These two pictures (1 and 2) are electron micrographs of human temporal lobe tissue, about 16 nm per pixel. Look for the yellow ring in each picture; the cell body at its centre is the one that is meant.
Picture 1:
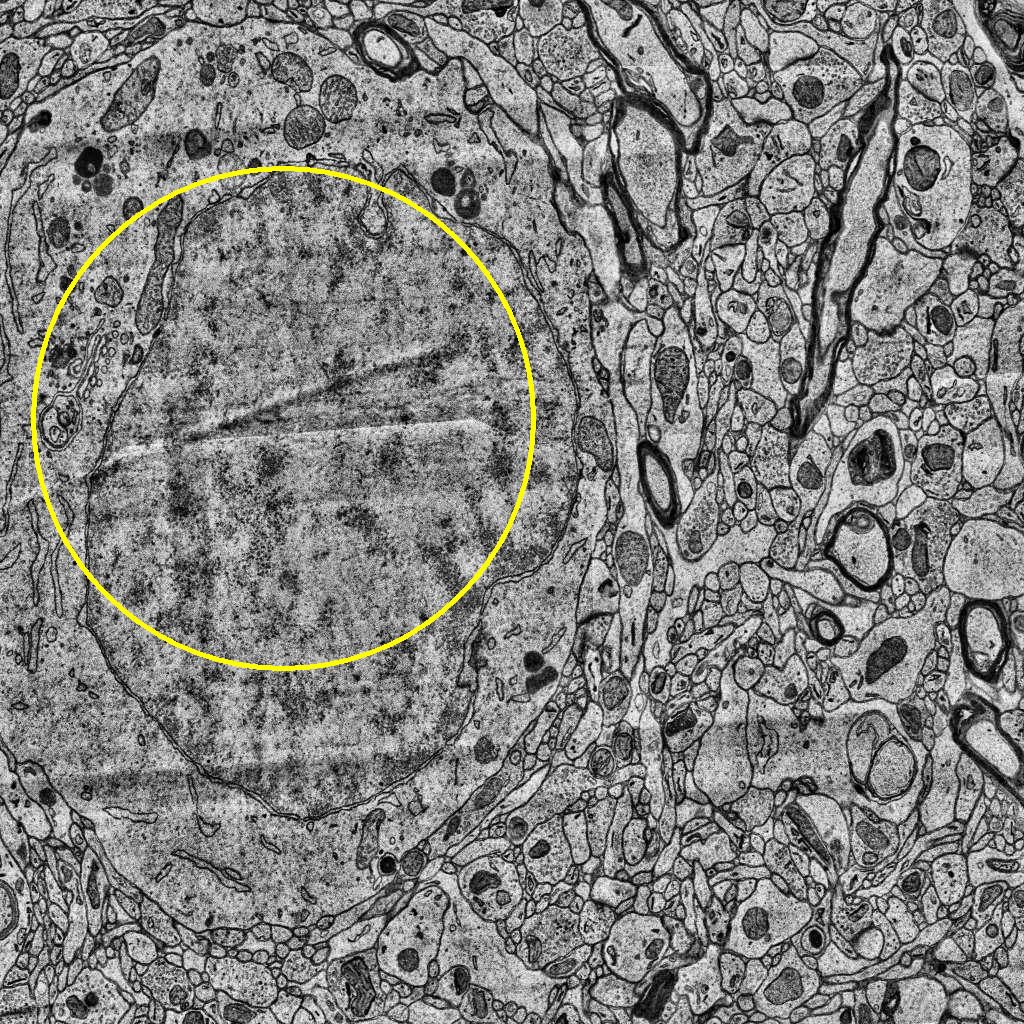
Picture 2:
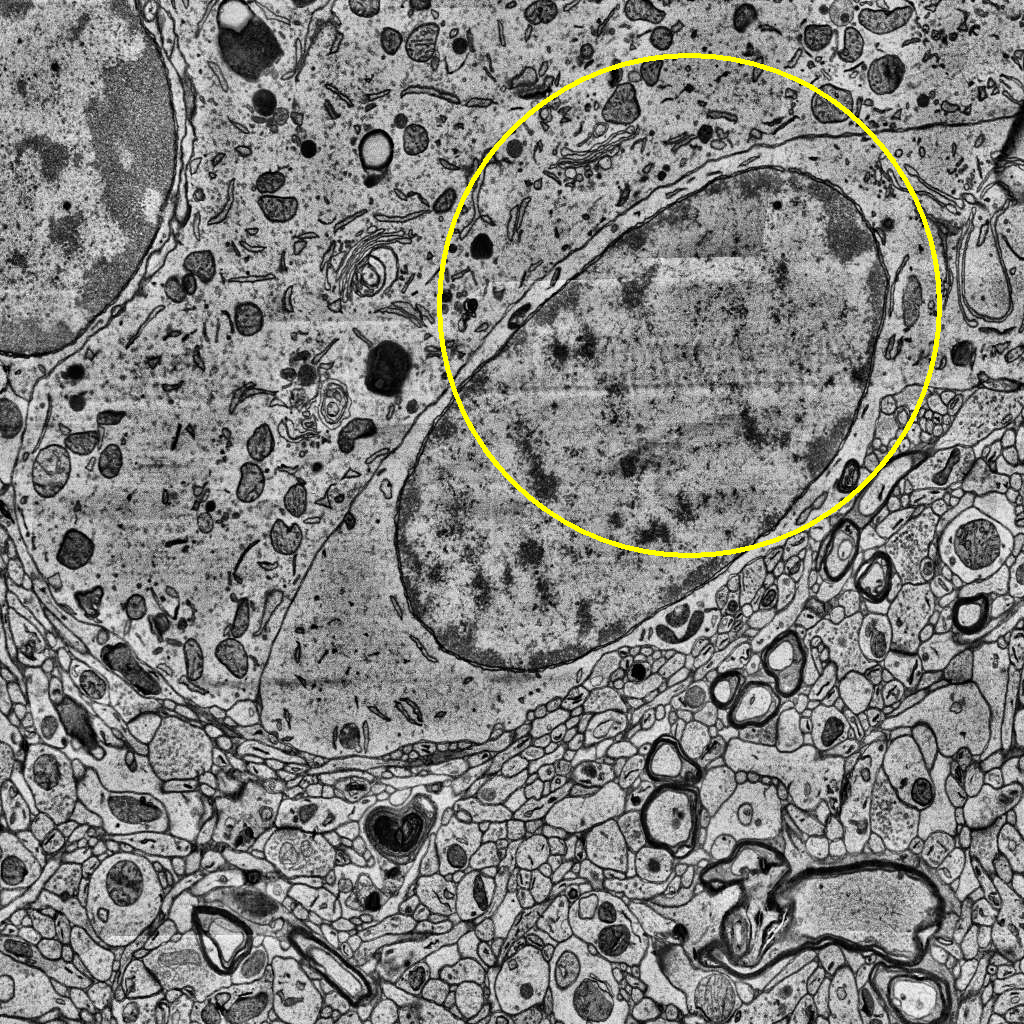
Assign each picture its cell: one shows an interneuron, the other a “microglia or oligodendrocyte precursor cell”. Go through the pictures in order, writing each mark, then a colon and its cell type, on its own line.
1: interneuron
2: microglia or oligodendrocyte precursor cell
